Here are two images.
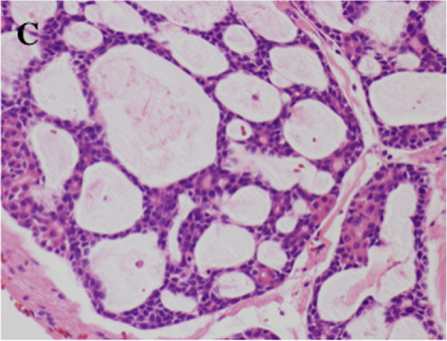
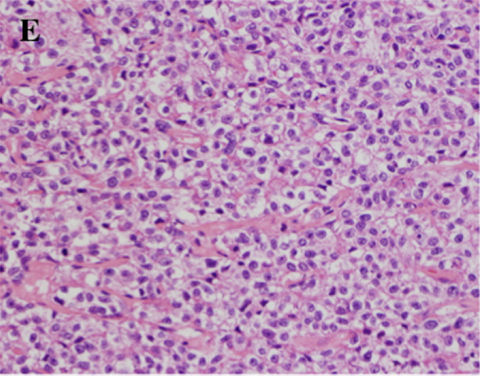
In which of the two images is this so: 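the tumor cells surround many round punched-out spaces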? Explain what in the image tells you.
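Second image: cells lie in solid sheets and islands with no round lumens. First image: cell nests are riddled with many round spaces filled with pale material. That points to this answer: the first image.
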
